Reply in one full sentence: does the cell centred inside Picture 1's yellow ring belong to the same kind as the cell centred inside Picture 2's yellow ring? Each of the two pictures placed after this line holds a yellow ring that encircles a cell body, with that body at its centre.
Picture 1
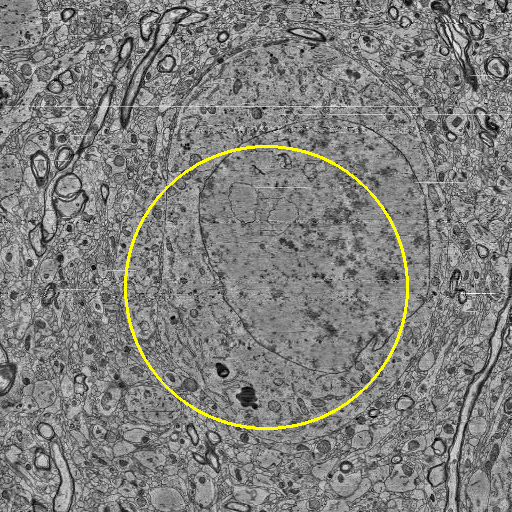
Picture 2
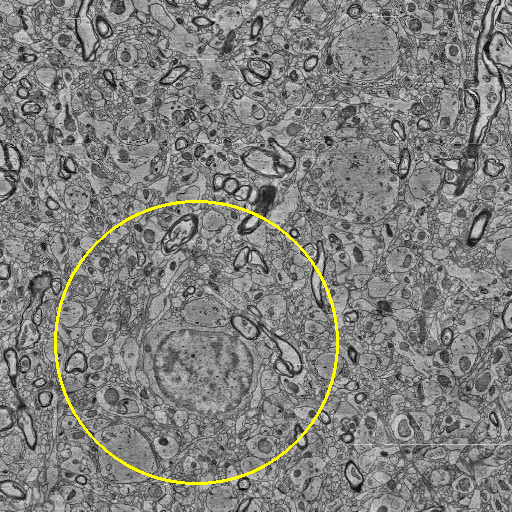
No, the ring-centred cells in Picture 1 and Picture 2 are of two separate kinds.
